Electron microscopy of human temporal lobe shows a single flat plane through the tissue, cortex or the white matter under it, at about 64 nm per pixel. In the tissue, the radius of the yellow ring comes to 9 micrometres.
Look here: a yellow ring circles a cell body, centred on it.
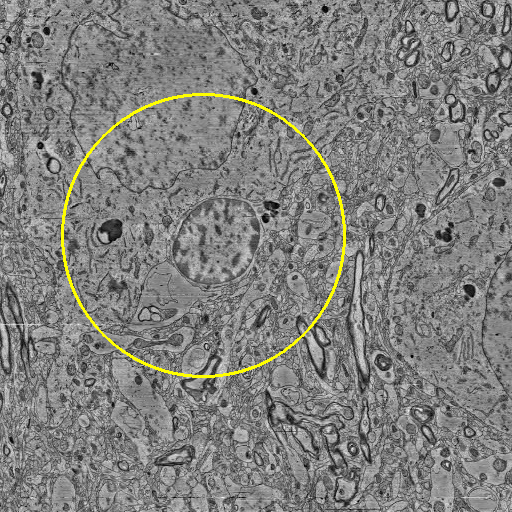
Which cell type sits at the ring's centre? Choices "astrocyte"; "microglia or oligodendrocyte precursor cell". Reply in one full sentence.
The cell at the centre of the yellow ring in the picture is a microglial cell or oligodendrocyte precursor cell.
